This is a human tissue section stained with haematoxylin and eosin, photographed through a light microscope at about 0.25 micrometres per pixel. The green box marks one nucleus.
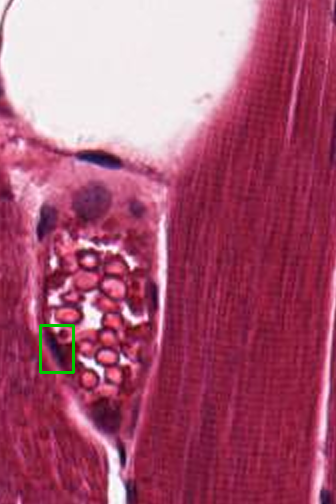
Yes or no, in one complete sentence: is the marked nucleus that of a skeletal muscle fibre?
No, the marked nucleus forms part of a supporting cell instead of a skeletal muscle fibre.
